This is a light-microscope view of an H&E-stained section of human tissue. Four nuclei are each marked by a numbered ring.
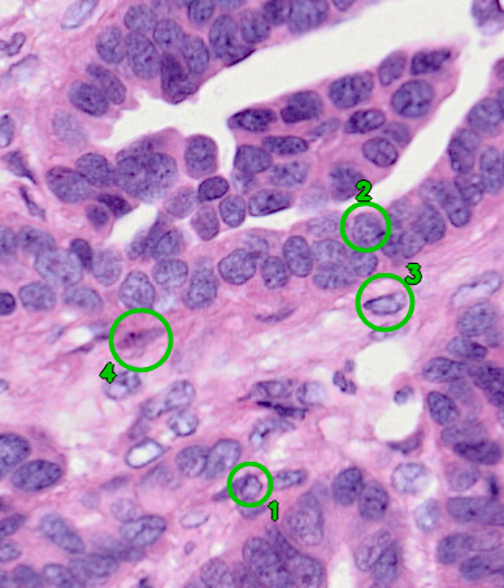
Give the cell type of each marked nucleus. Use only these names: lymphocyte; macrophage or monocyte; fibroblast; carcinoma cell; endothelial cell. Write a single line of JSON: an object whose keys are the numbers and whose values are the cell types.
{"1": "fibroblast", "2": "carcinoma cell", "3": "fibroblast", "4": "fibroblast"}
